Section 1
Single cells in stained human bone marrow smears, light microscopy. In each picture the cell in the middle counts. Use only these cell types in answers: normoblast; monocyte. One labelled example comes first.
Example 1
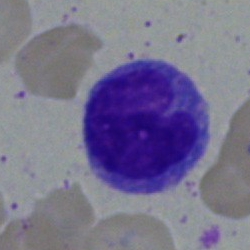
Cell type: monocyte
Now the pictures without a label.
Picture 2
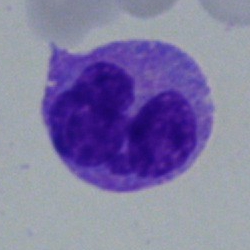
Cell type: monocyte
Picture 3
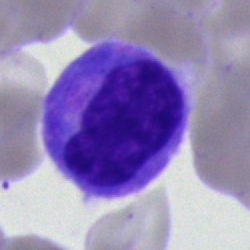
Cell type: monocyte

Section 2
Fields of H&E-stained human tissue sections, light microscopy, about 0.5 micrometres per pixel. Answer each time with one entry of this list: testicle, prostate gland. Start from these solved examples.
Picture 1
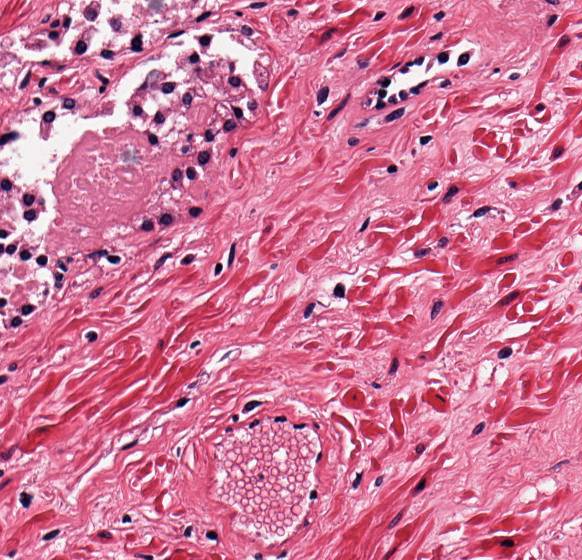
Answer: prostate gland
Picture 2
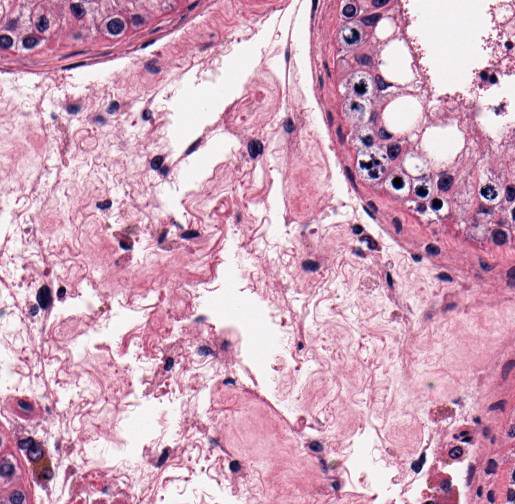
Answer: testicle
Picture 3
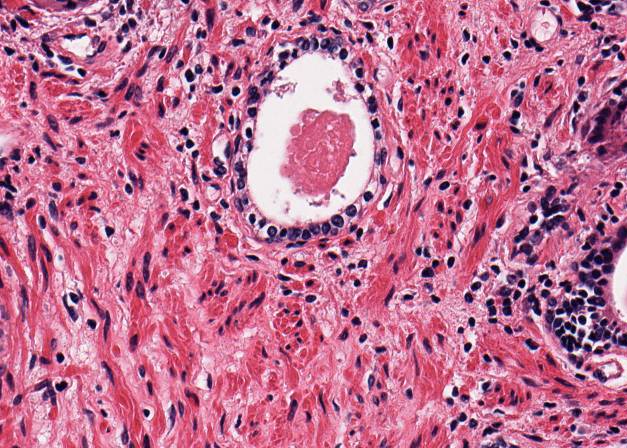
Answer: prostate gland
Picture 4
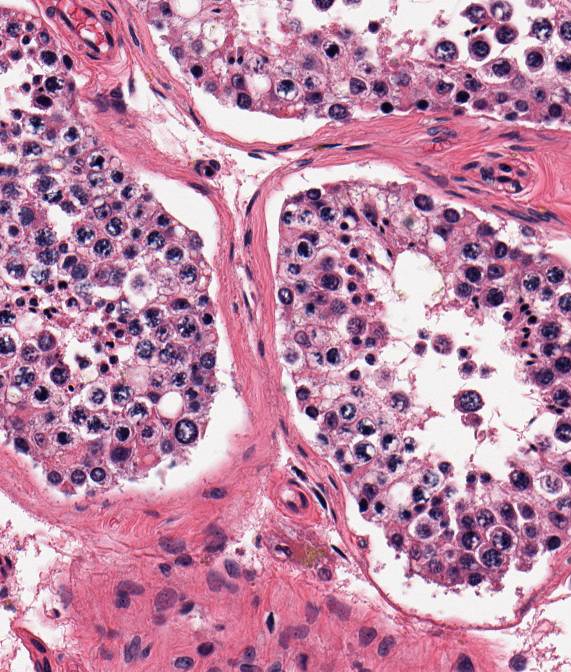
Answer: testicle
